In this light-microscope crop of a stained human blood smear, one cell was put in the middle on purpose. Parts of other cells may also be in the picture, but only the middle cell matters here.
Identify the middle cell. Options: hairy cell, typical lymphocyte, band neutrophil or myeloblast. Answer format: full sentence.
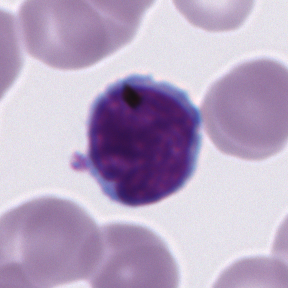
The cell in the middle of this crop is a typical lymphocyte.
